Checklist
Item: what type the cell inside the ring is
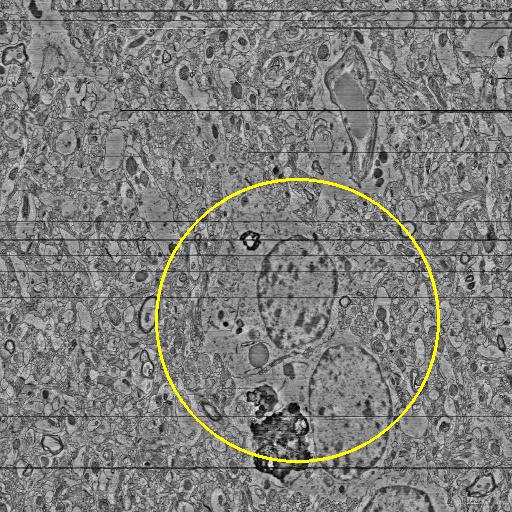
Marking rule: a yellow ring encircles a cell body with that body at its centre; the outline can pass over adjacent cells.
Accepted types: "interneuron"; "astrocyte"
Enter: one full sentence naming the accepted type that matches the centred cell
The entry is that an astrocyte lies at the centre of the yellow ring.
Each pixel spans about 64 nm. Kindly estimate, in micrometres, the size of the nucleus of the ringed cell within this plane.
Clearly longer than it is wide in this plane, the nucleus measures roughly 8 by 5 micrometres.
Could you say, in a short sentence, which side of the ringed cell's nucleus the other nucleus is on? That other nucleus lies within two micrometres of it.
That other nucleus lies to the lower right of it.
